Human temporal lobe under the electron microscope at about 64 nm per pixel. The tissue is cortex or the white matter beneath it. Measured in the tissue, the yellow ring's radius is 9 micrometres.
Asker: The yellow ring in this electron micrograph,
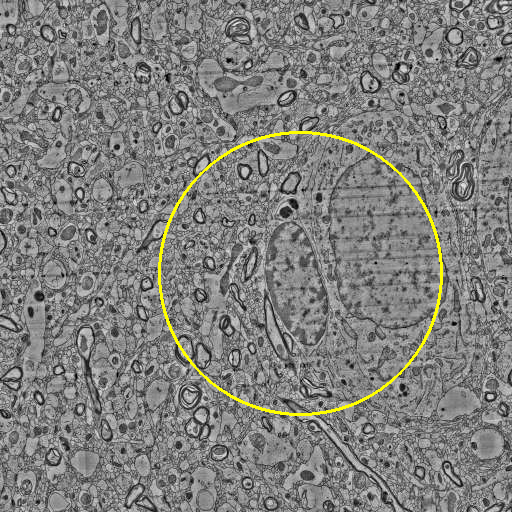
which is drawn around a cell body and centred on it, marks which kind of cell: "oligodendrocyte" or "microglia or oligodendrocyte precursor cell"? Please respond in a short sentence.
The marked cell is a microglial cell or oligodendrocyte precursor cell.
